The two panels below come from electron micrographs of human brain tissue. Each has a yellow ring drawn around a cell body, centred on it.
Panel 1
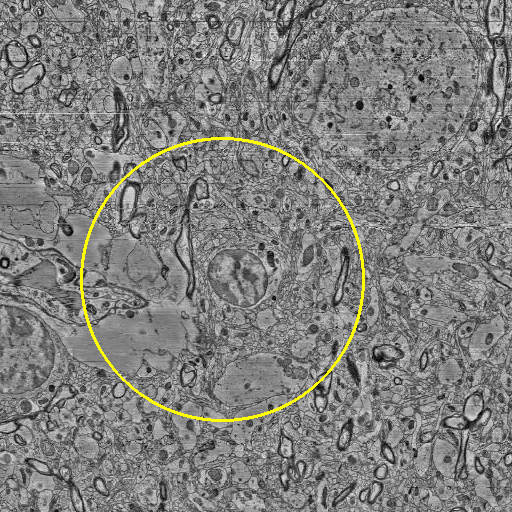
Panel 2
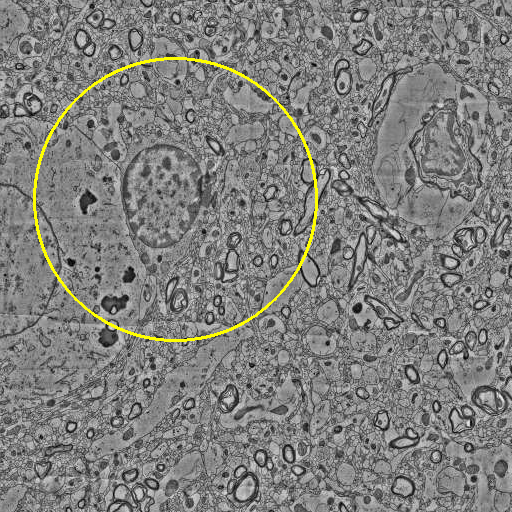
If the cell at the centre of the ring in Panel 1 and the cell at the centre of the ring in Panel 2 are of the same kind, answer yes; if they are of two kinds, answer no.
no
